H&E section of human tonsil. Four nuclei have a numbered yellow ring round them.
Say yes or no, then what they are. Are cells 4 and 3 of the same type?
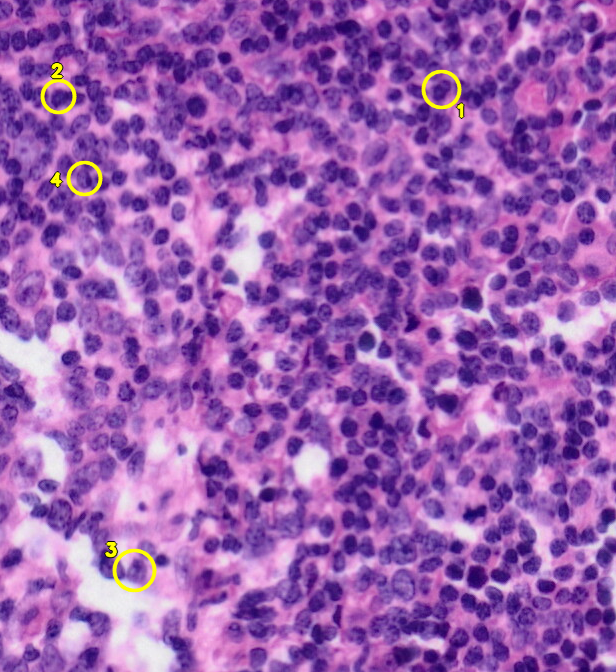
No, mate, cell 4 is a small lymphocyte and cell 3 is a proliferating B cell.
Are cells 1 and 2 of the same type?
Yes, both cell 1 and cell 2 are small lymphocytes.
